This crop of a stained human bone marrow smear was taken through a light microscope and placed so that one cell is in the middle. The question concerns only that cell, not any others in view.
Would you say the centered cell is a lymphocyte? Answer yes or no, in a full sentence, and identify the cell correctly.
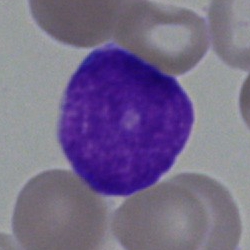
No, the cell at the centre of the crop corresponds to a blast, not a lymphocyte.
